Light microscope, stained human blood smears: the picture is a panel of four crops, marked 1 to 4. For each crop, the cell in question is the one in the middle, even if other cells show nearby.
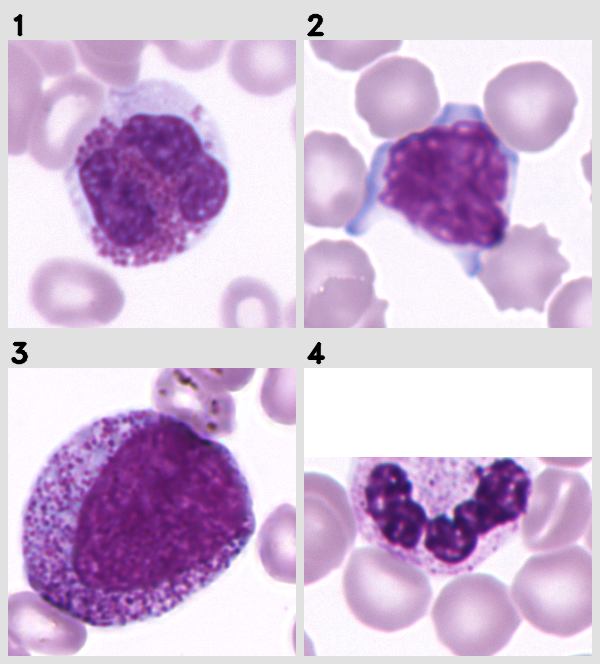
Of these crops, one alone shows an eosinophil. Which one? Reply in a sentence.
Of the crops shown, crop 1 depicts an eosinophil.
